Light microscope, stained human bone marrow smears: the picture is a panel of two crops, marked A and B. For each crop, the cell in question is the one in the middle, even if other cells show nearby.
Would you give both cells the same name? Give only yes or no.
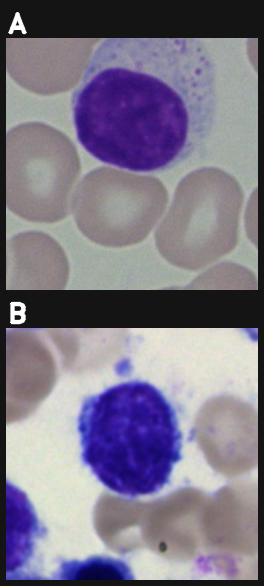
yes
